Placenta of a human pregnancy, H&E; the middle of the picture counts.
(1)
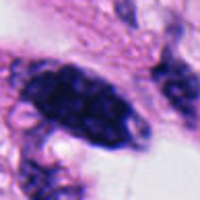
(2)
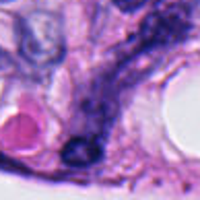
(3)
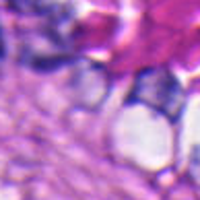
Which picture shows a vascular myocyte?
Picture 3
